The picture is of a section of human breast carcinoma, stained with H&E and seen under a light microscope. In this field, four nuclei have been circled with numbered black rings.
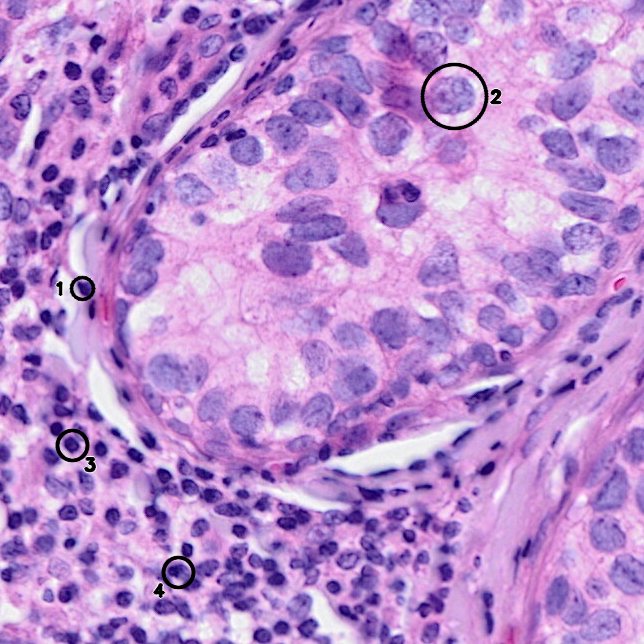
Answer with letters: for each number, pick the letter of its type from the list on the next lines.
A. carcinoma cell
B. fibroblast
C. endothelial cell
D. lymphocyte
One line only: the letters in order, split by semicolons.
D; A; D; D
